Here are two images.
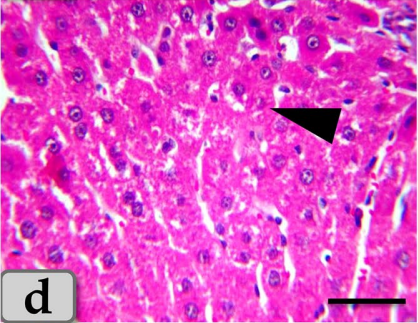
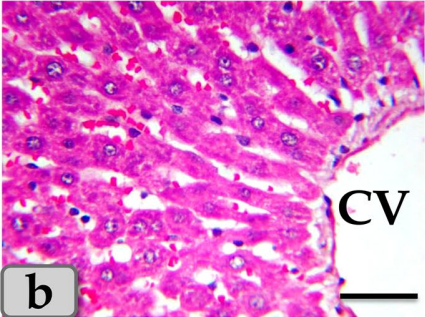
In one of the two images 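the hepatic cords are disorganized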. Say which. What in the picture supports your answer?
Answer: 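First image: hepatocytes lie without a regular cord pattern. Second image: hepatocytes form orderly cords running toward the vein.
Hence: the first image.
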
